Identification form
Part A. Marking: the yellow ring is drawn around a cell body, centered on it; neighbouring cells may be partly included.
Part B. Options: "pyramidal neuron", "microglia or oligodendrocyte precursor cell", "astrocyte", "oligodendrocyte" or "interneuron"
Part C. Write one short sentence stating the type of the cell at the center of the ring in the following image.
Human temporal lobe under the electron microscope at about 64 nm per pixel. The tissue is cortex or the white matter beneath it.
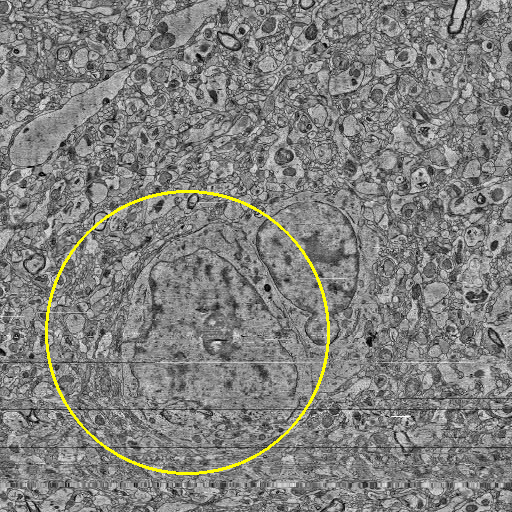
The center of the ring holds an interneuron.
